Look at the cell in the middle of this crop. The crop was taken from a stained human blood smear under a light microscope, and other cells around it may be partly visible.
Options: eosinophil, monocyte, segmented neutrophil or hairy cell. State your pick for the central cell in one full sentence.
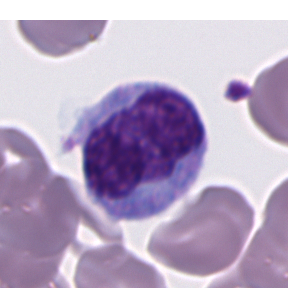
This crop's central cell is a monocyte.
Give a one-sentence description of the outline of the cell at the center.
Its surface contour departs from smoothness through ragged edges or outward projections.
